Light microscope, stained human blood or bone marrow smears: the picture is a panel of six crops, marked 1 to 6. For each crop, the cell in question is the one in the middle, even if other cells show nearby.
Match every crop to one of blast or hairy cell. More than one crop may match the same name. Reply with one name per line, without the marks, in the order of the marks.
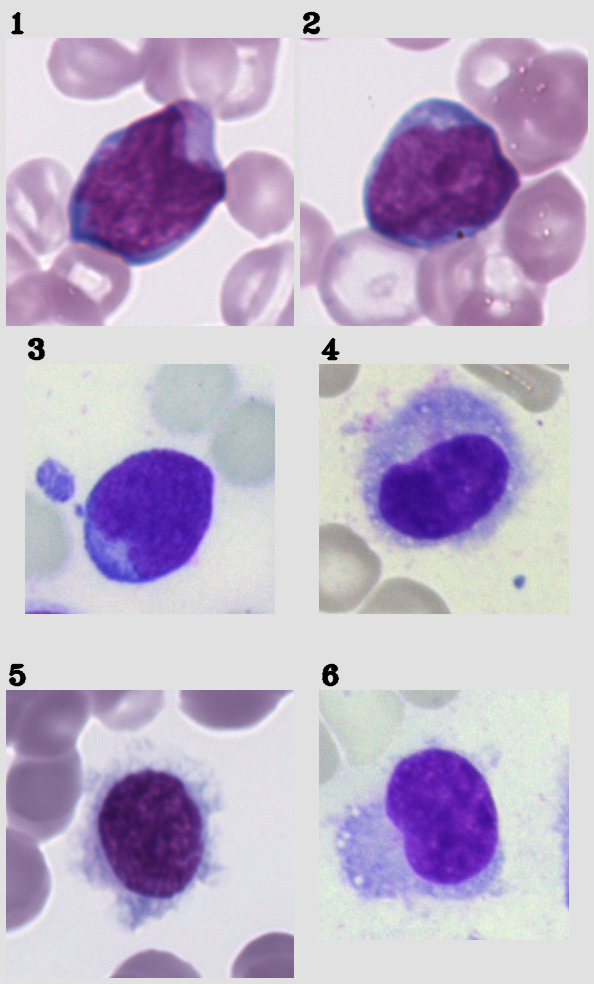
blast
blast
blast
hairy cell
hairy cell
hairy cell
